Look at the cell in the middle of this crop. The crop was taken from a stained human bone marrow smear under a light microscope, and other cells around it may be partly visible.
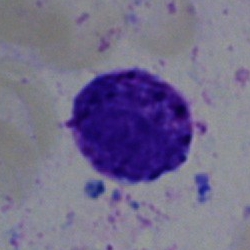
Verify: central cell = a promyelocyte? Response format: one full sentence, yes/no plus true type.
No, not a promyelocyte here; the centered cell is a basophil.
